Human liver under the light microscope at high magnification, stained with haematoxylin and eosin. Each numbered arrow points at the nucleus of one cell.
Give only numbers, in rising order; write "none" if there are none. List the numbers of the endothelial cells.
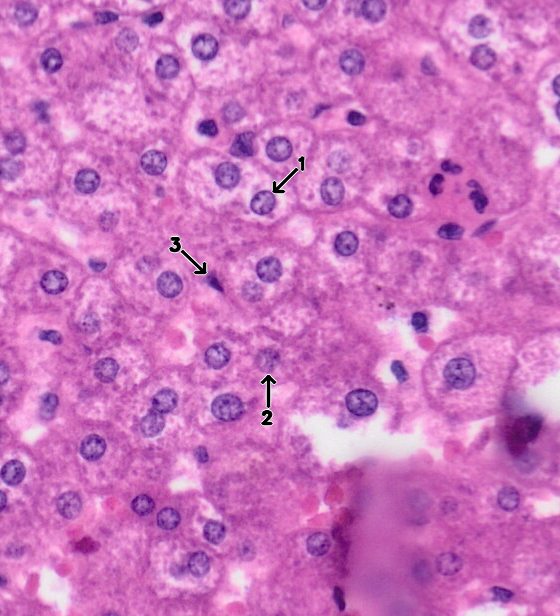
3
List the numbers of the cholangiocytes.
none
